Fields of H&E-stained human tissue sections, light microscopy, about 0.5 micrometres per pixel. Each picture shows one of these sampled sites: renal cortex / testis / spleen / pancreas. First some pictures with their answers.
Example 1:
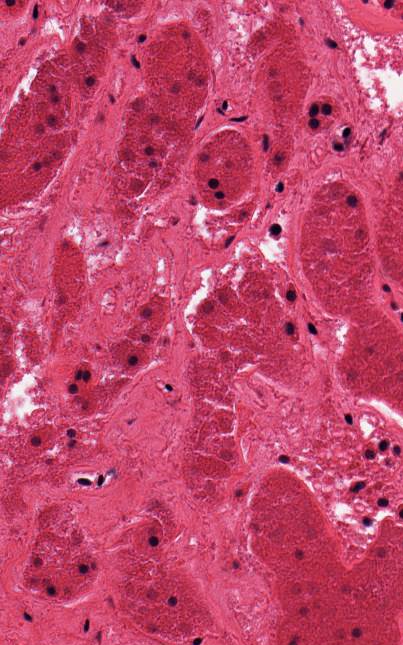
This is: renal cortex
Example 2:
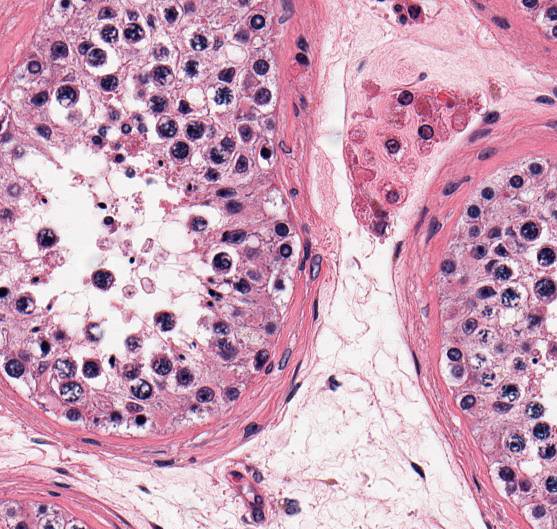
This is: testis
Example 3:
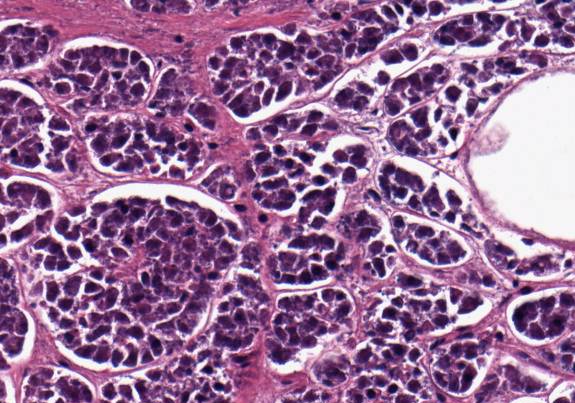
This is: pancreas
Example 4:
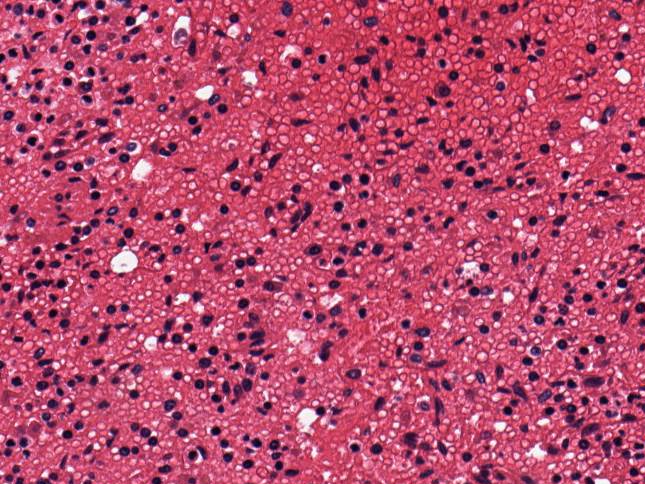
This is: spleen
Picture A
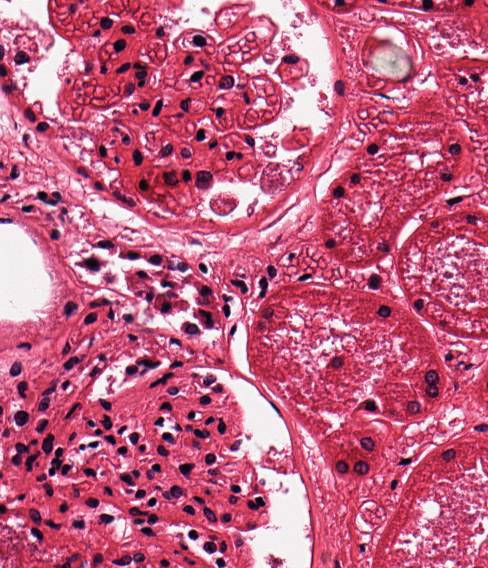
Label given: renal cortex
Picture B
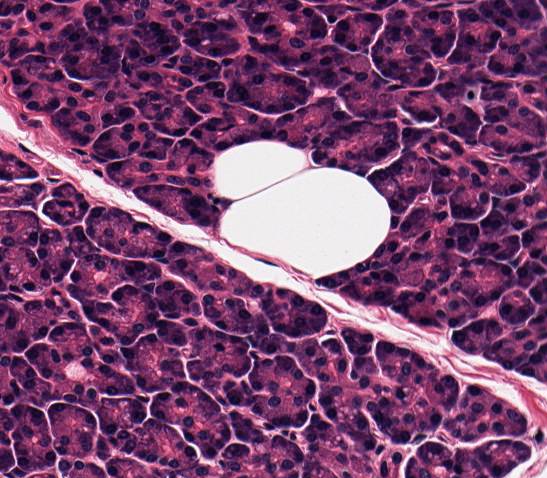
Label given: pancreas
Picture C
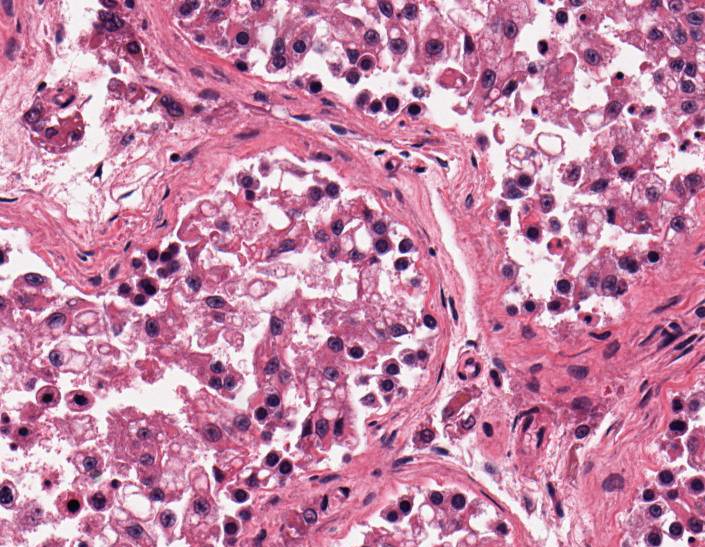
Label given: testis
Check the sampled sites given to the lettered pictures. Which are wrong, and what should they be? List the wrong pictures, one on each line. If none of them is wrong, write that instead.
Every label is right.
